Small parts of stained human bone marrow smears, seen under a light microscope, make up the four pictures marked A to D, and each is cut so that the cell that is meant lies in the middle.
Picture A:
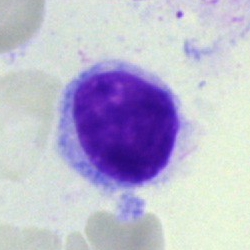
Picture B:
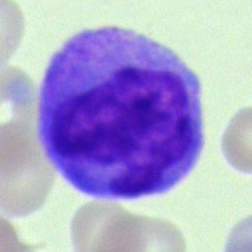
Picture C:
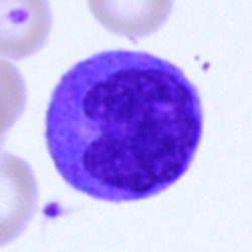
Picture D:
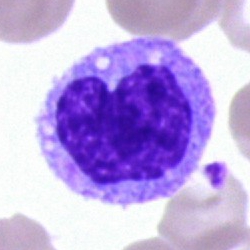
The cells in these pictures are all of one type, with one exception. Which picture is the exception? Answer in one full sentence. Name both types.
Picture A differs, because its cell is a hairy cell and the rest are monocytes.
